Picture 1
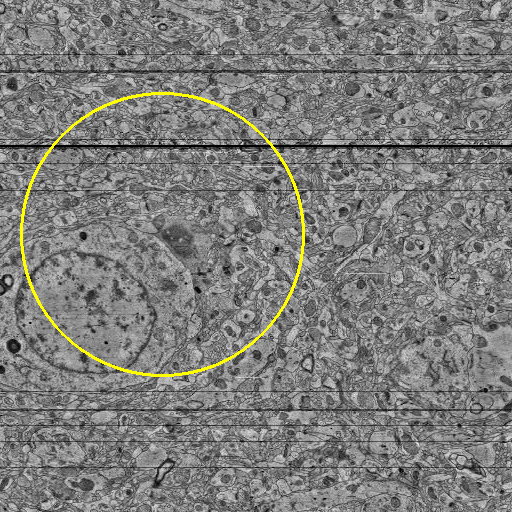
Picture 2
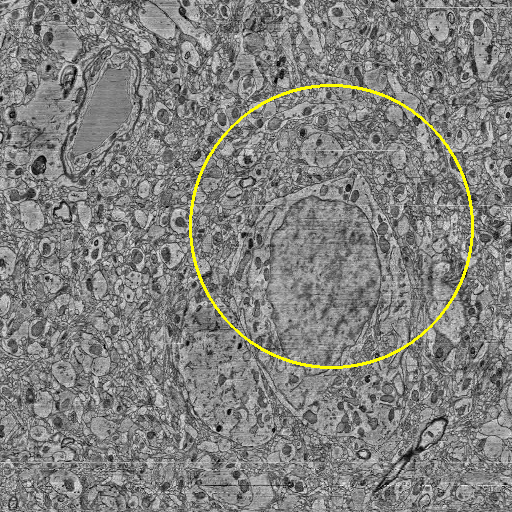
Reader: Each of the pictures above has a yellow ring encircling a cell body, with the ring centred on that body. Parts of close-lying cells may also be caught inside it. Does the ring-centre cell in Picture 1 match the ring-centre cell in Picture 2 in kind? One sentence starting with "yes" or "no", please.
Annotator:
No, Picture 1 and Picture 2 show ring-centre cells of two kinds.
